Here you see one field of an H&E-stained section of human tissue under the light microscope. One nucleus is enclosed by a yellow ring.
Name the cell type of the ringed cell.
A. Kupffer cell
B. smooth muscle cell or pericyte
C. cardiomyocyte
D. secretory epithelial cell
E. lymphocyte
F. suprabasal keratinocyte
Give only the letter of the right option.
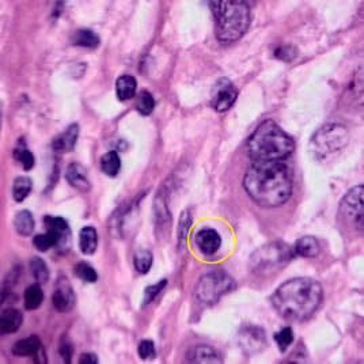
E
